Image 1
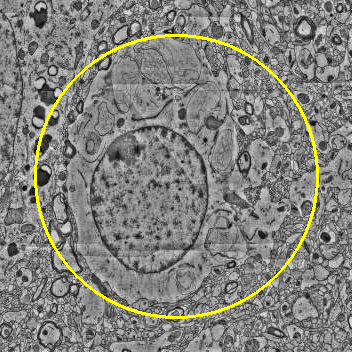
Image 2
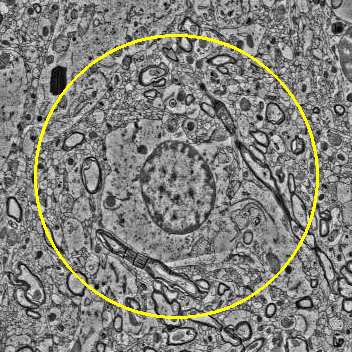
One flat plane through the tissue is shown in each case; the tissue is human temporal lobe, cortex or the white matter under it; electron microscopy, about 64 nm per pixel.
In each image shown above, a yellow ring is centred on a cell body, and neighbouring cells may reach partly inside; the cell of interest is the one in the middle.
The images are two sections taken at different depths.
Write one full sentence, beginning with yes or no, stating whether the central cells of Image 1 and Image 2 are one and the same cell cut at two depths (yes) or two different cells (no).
No, the two rings refer to two distinct cells.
